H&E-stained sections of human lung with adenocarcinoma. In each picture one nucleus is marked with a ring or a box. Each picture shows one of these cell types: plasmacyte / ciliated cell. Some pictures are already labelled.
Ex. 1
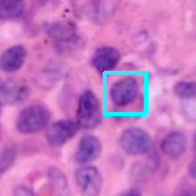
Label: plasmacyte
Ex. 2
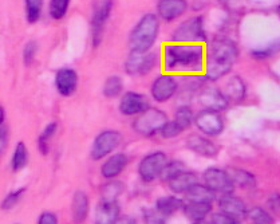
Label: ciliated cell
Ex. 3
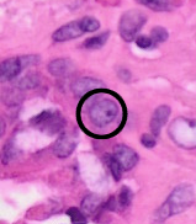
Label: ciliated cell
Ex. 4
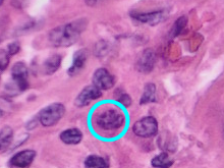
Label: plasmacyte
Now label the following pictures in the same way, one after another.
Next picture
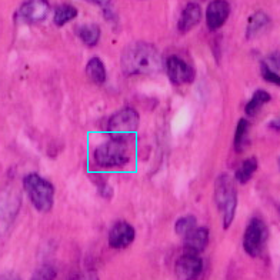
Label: plasmacyte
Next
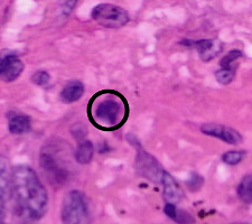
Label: plasmacyte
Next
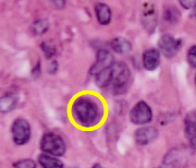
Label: plasmacyte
